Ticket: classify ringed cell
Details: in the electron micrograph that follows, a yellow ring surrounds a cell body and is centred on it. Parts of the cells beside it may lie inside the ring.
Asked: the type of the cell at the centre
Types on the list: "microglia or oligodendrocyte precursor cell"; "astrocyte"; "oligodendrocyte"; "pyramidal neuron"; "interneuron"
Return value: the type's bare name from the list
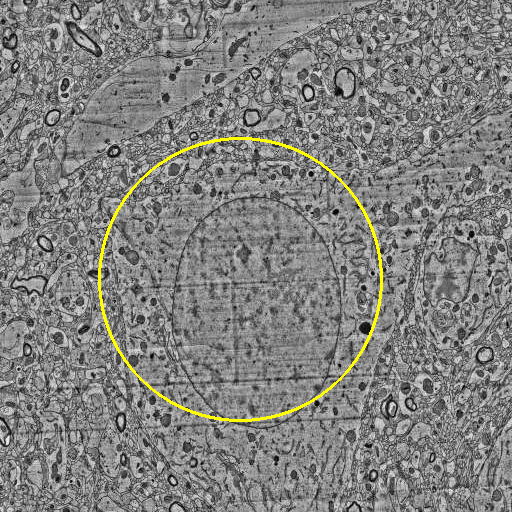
pyramidal neuron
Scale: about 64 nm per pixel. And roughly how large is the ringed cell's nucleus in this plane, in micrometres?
In this plane, roughly 15 by 11 micrometres.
